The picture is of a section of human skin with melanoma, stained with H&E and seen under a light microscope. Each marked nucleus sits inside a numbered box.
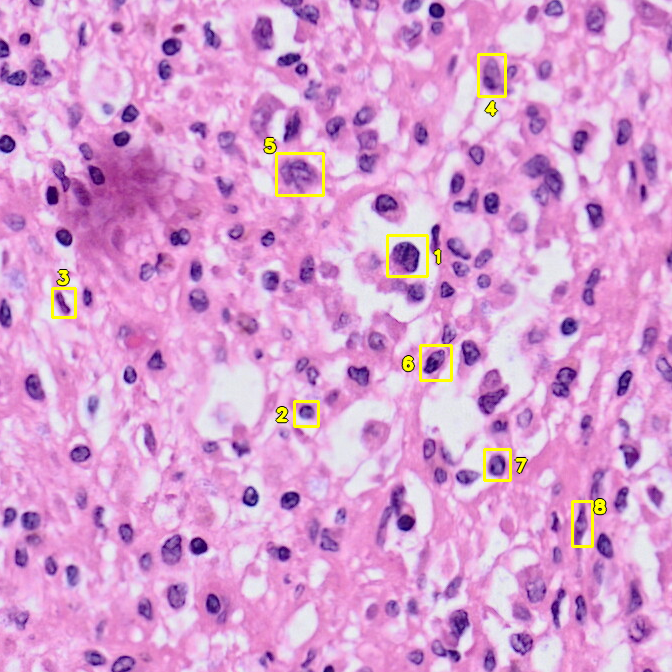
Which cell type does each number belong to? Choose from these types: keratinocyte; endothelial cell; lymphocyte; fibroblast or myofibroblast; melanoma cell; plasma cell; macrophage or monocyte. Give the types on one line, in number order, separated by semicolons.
melanoma cell; lymphocyte; fibroblast or myofibroblast; macrophage or monocyte; melanoma cell; lymphocyte; lymphocyte; fibroblast or myofibroblast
